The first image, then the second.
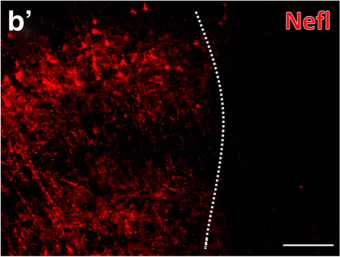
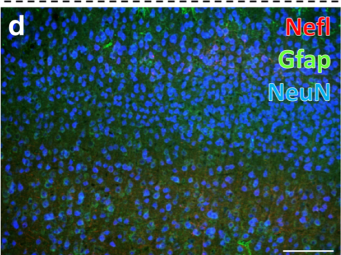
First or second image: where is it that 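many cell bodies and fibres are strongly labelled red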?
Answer: the first image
